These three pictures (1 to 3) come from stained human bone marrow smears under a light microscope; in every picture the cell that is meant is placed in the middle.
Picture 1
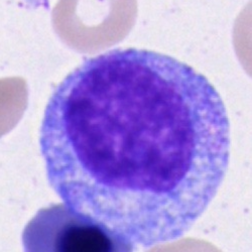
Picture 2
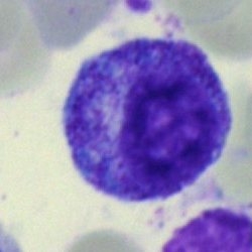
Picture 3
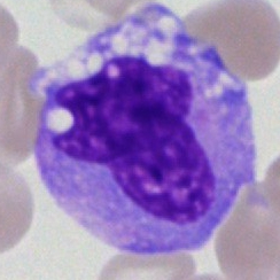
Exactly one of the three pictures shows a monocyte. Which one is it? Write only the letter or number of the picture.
3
